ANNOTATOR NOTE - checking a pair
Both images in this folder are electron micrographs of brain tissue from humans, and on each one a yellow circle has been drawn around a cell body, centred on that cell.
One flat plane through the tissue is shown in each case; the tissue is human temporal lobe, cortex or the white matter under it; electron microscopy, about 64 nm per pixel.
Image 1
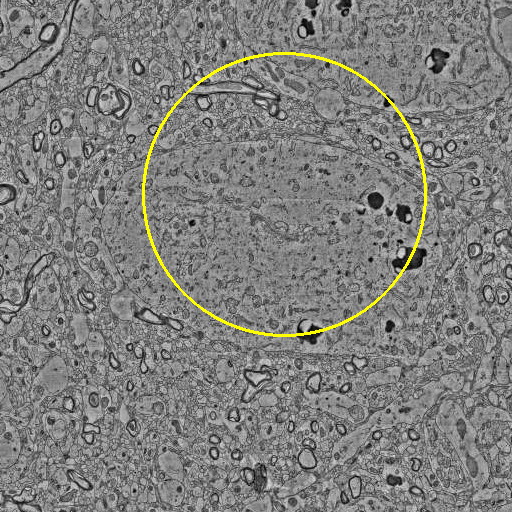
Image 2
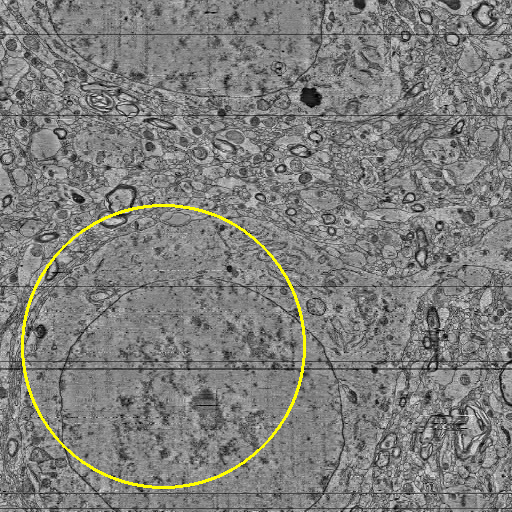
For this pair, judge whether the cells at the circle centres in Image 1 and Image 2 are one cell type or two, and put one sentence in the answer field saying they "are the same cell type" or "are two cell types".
For this pair, the cells at the circle centres in Images 1 and 2 are the same cell type.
